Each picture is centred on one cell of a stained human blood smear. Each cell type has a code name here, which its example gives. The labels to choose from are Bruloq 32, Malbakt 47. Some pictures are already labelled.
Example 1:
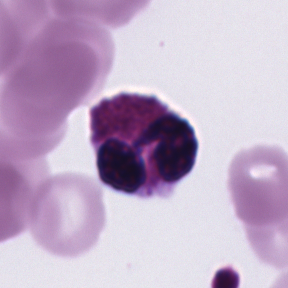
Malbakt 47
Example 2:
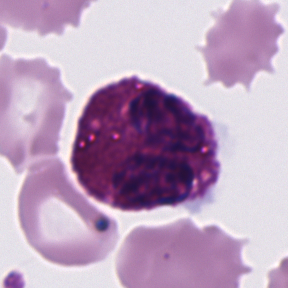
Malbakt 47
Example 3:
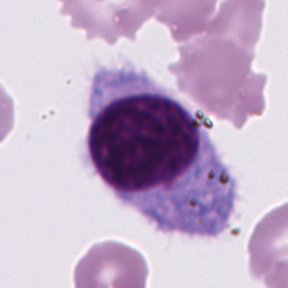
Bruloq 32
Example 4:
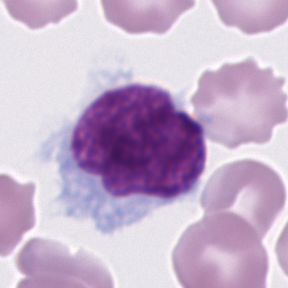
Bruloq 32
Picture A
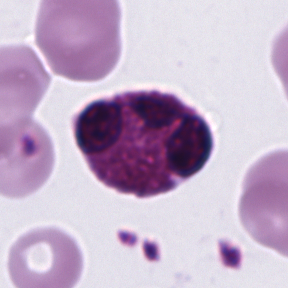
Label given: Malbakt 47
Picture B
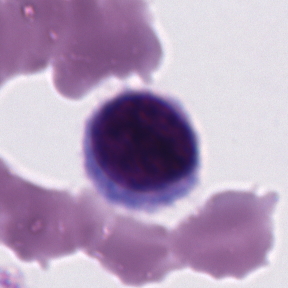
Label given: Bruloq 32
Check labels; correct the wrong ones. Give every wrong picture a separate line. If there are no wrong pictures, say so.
All correct.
